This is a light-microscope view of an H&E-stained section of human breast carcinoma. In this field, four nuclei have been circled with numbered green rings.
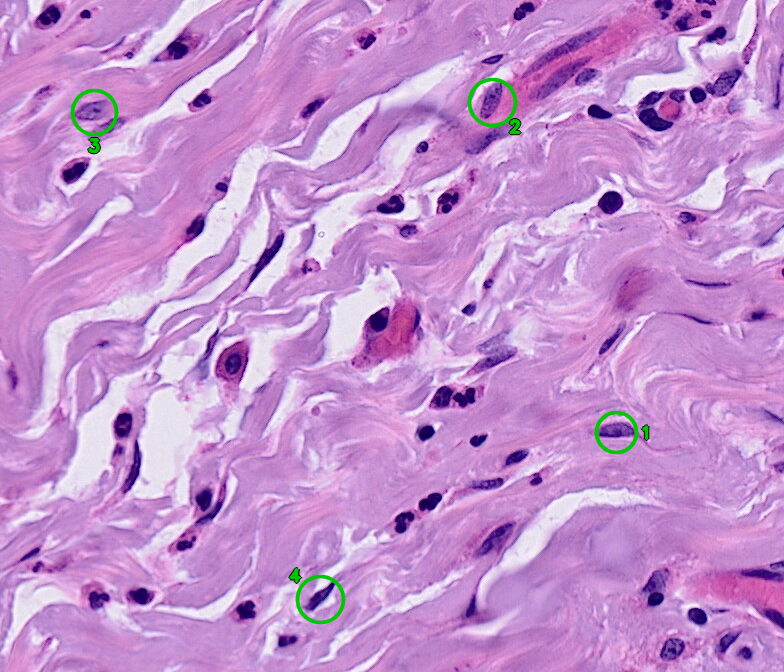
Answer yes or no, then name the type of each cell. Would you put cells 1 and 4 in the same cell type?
Yes, both are fibroblasts.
